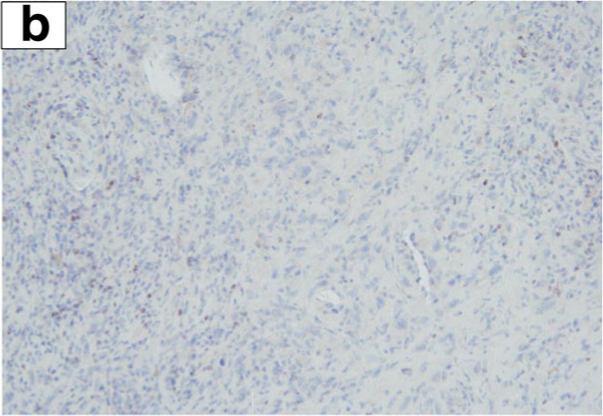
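Most nuclei are blue, elongated and irregular, set in a pale background. Only a scattered minority of nuclei stain brown, so the brown staining is focal rather than diffuse. Small thin-walled vessels with clear lumens lie among the cells. The cells are crowded and arranged haphazardly, without an organized tissue pattern.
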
